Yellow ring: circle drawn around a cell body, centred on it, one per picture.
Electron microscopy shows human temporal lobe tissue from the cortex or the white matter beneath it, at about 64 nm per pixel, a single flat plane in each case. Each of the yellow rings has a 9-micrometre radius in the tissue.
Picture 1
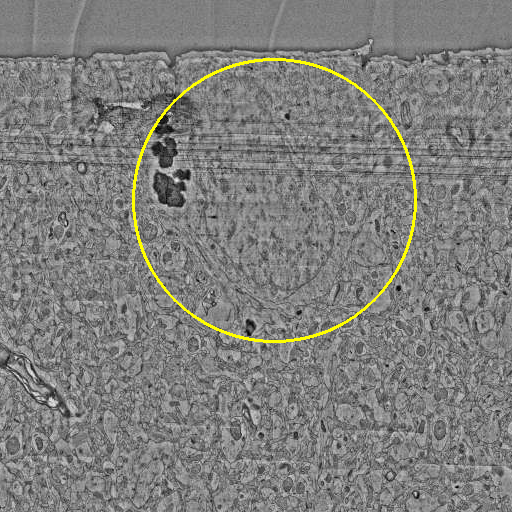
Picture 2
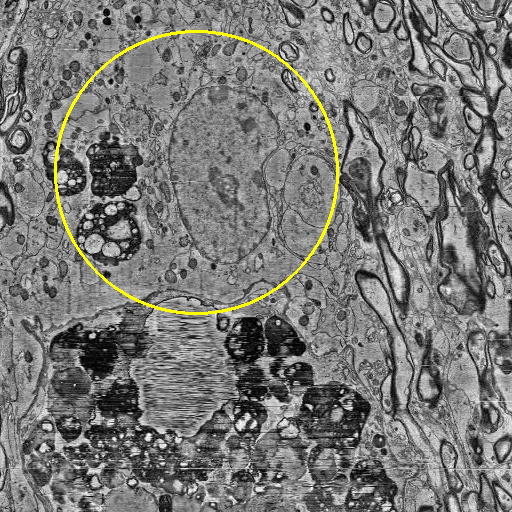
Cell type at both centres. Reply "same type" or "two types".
two types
